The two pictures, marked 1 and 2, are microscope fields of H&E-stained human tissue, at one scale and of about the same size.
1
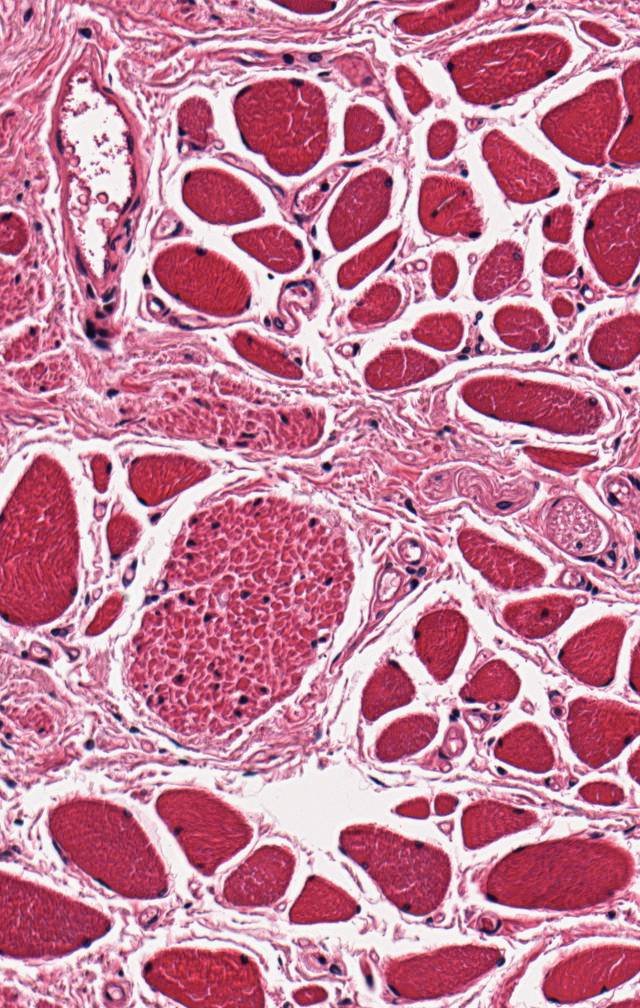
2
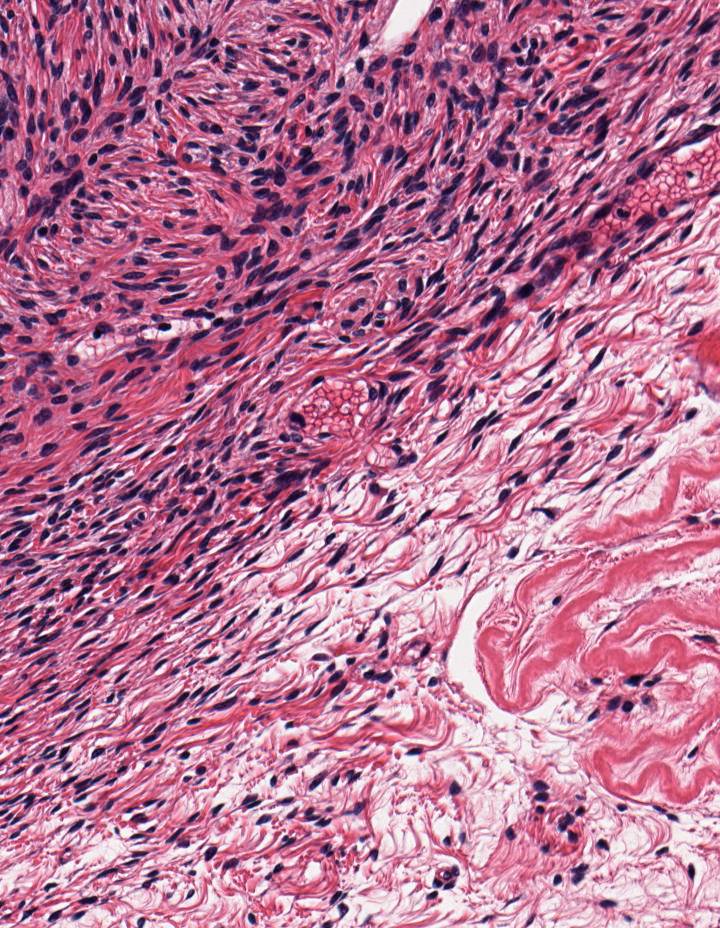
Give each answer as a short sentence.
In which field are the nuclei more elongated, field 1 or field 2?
Longer, more slender nuclei lie in field 2.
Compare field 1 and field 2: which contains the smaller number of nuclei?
The smaller number of nuclei is in field 1.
